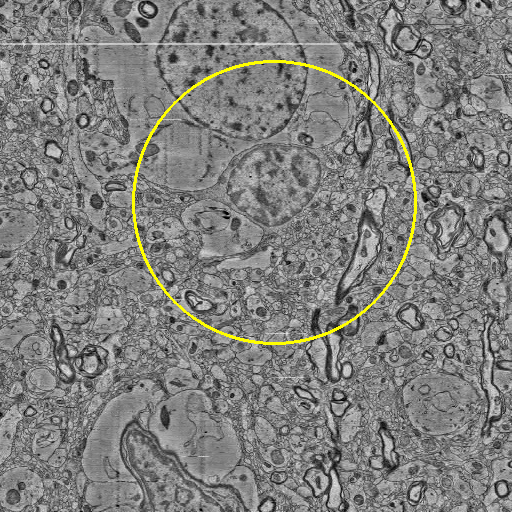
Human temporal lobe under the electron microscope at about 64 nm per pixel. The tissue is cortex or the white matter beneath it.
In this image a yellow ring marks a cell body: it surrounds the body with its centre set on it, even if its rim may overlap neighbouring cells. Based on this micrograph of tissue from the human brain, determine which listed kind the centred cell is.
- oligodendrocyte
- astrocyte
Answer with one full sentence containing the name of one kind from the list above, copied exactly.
It is an oligodendrocyte whose body the yellow ring encloses at its centre.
